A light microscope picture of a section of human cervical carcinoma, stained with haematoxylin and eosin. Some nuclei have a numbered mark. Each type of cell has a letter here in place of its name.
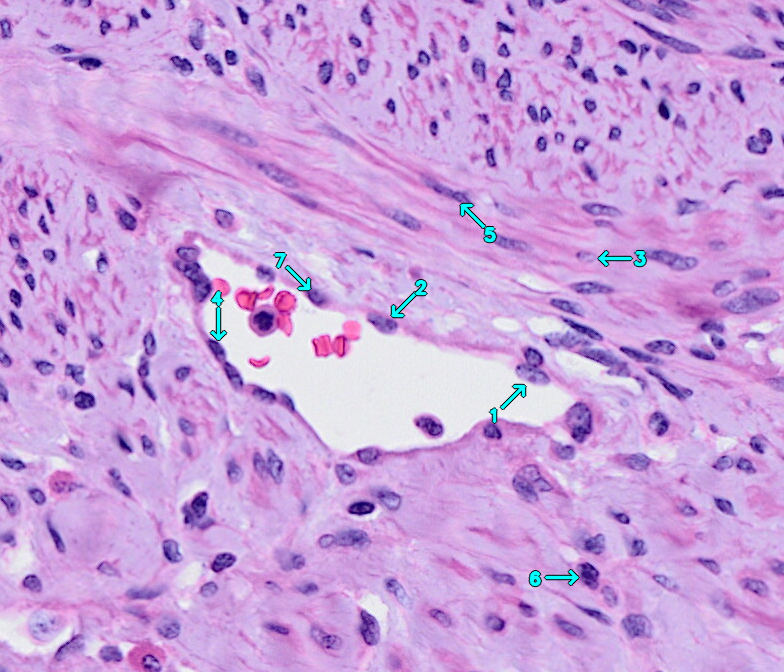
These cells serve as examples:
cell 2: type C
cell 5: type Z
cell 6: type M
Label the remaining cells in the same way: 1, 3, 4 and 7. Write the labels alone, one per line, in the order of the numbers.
type C
type Z
type C
type C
